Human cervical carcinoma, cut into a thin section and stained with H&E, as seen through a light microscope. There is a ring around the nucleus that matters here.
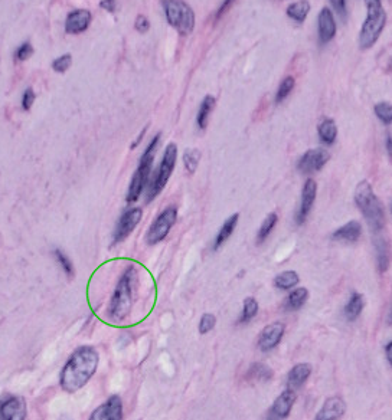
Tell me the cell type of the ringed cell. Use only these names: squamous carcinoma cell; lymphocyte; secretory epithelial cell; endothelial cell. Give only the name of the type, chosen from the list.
endothelial cell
